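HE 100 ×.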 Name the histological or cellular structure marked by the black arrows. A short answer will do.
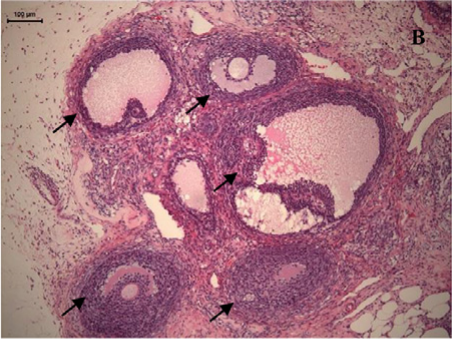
Ovarian follicles.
